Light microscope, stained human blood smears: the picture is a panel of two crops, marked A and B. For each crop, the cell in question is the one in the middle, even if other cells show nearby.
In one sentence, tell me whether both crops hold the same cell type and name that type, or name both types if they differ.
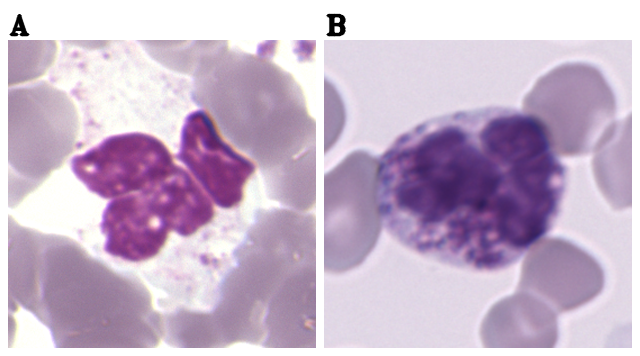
No, in this case crop A shows a segmented neutrophil, and crop B shows a basophil.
